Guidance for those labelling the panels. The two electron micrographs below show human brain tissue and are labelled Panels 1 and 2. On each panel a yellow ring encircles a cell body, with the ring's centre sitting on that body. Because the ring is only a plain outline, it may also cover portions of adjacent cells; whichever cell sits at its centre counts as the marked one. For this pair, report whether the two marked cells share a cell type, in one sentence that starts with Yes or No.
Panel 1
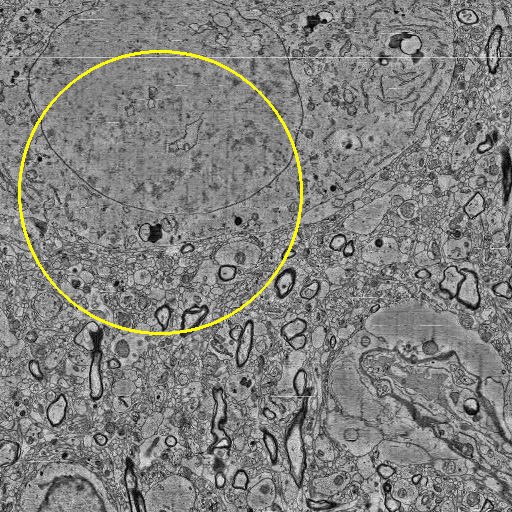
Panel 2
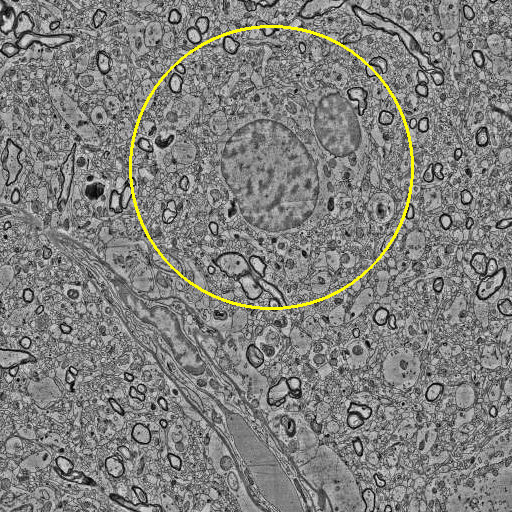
No, in Panel 1 and Panel 2 the marked cells at the ring centres are of two types.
